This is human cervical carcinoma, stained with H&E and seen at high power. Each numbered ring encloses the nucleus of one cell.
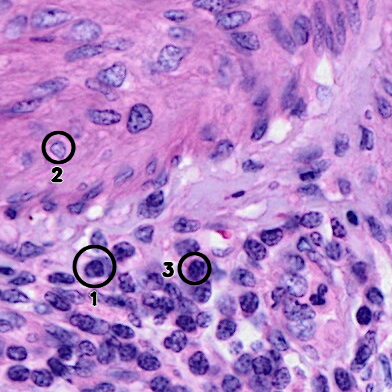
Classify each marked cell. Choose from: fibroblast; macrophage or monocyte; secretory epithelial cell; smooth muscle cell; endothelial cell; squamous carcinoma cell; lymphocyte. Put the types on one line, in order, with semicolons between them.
lymphocyte; smooth muscle cell; lymphocyte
